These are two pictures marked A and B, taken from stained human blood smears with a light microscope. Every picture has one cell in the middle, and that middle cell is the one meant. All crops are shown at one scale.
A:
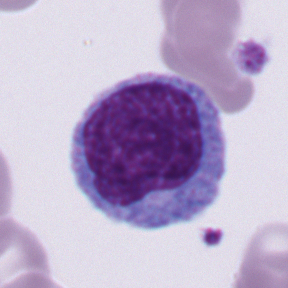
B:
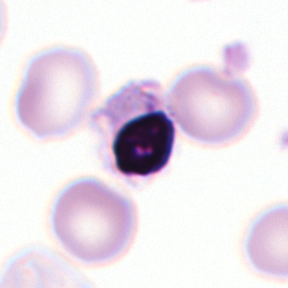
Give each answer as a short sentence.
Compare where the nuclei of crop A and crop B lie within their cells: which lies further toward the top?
It is the nucleus in crop A that lies further toward the top of its cell.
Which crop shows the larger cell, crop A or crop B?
It is the cell in crop A, about 3 times as large in area as the cell in crop B.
